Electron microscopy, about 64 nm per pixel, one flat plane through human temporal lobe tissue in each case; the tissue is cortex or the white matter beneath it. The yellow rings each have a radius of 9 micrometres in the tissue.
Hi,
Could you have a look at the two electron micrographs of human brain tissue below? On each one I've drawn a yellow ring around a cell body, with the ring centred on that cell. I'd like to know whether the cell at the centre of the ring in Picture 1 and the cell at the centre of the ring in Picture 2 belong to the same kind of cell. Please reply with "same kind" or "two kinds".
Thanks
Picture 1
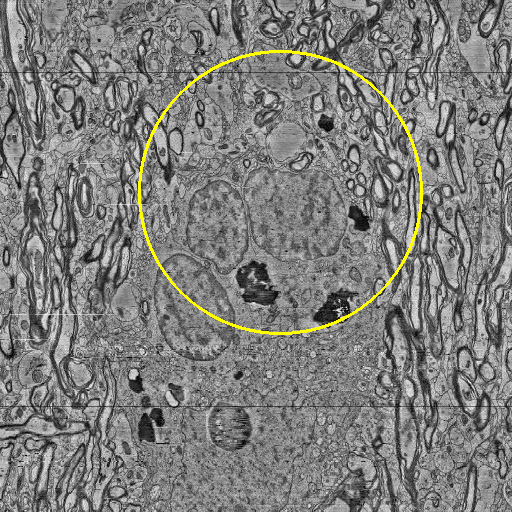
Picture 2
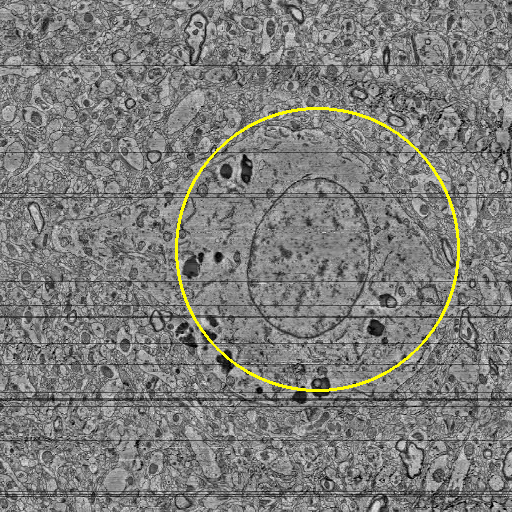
two kinds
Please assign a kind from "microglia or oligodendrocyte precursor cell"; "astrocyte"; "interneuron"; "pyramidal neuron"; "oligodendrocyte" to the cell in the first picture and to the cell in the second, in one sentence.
In the first picture we have an oligodendrocyte, and in the second, a pyramidal neuron.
